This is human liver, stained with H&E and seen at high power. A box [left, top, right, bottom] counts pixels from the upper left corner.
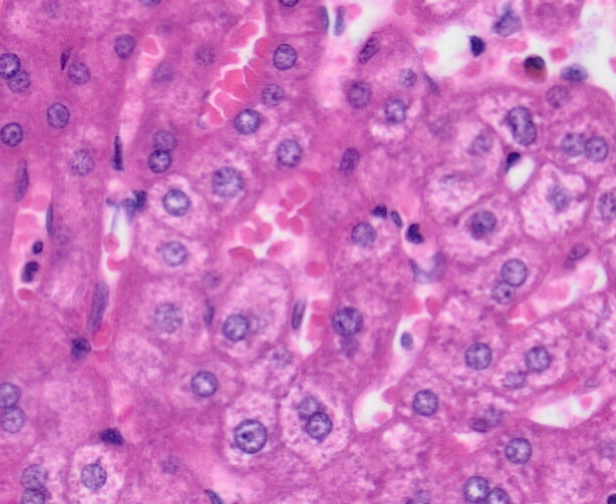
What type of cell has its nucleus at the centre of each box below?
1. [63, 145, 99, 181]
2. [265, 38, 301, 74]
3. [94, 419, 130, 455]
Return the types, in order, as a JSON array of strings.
["hepatocyte", "hepatocyte", "fibroblast or stellate cell"]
